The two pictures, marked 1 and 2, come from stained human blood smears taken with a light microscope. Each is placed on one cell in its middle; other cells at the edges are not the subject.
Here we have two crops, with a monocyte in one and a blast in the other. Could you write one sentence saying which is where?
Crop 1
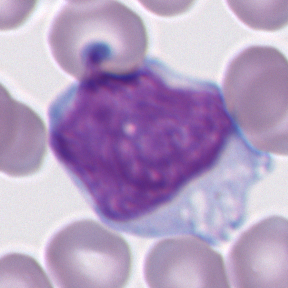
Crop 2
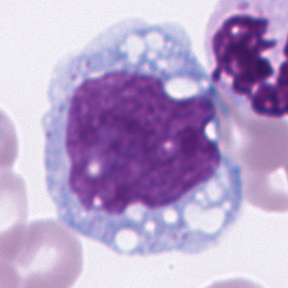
Crop 1 has been identified as a blast, and crop 2 has been identified as a monocyte.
